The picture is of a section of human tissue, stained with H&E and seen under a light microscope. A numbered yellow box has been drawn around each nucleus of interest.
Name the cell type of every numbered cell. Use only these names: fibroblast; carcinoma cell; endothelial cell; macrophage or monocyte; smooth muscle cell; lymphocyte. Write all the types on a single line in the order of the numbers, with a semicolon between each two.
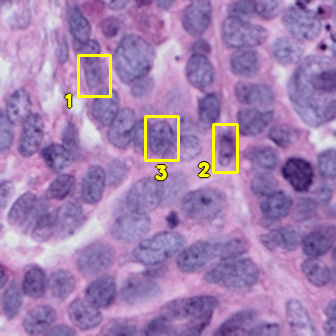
carcinoma cell; macrophage or monocyte; carcinoma cell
